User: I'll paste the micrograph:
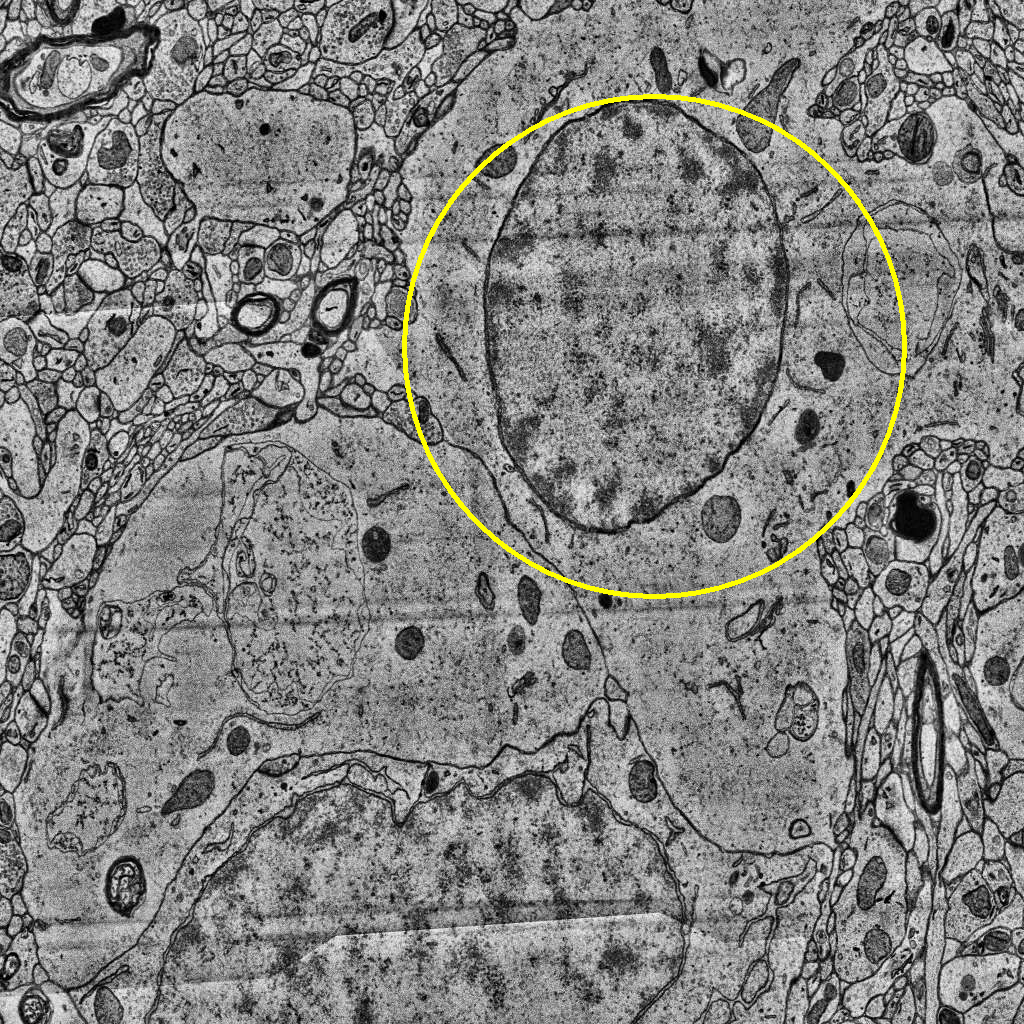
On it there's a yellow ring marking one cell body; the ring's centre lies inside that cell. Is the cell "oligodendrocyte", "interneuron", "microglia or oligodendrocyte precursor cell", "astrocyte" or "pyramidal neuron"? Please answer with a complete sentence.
The cell at the centre of the yellow ring is an astrocyte.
